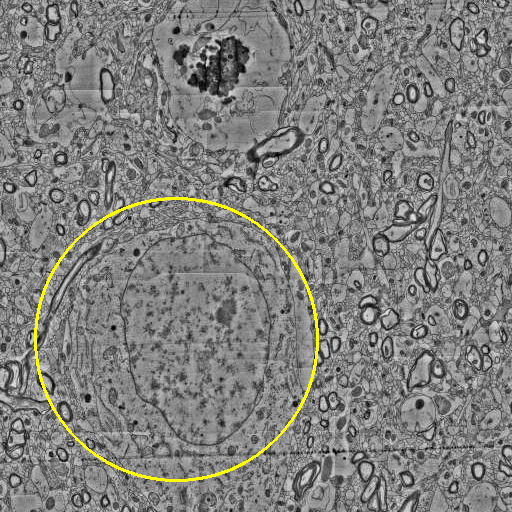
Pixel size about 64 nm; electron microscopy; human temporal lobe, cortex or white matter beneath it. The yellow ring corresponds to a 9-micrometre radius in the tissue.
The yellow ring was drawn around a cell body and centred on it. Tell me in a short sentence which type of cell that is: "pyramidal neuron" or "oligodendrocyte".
The cell at the ring's centre is a pyramidal neuron.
